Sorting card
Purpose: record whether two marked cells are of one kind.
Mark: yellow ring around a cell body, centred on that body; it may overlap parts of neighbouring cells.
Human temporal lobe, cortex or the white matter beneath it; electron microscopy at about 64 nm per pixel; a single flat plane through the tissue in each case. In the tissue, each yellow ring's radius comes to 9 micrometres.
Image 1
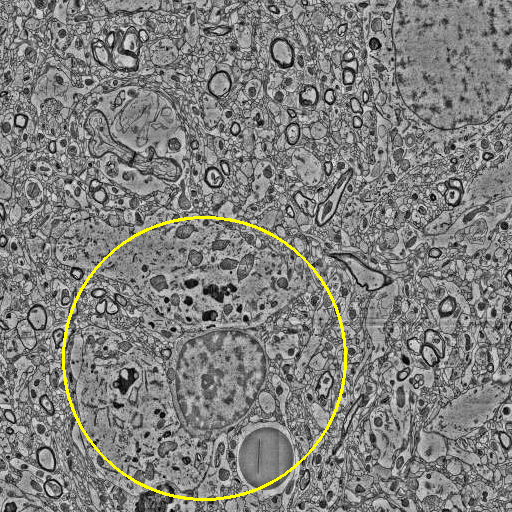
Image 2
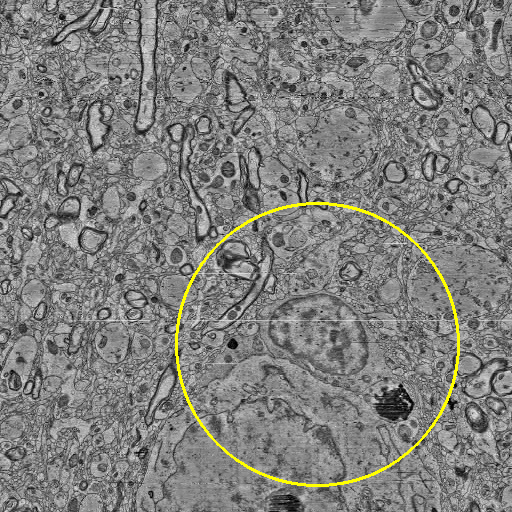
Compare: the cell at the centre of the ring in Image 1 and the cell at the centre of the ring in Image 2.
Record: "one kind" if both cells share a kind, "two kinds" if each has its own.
one kind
